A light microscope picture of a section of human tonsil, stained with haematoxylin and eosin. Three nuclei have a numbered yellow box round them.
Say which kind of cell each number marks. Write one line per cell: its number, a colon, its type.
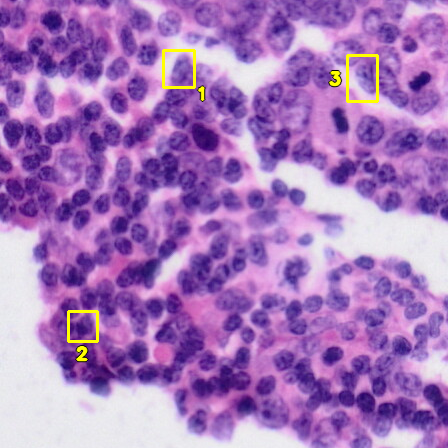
1: proliferating B cell
2: small lymphocyte
3: proliferating B cell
